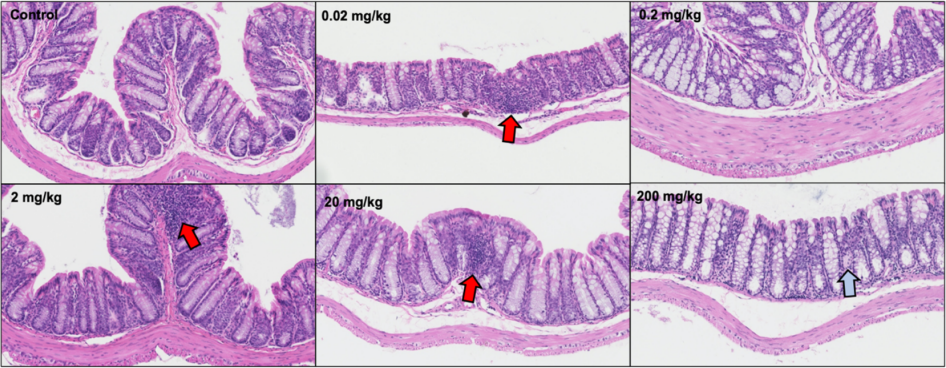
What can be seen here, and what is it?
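Cross sections of colon wall show a mucosa of closely packed, test-tube-like crypts lined by columnar epithelium with many pale, rounded goblet cells, resting on a pink band of smooth muscle. In several sections the tissue between and beneath the crypts is crowded by dense clusters of small, dark purple nuclei, marking leukocyte infiltration that distorts the mucosa. The muscle layer is uniform and pink with scattered elongated nuclei, and its thickness differs between sections.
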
